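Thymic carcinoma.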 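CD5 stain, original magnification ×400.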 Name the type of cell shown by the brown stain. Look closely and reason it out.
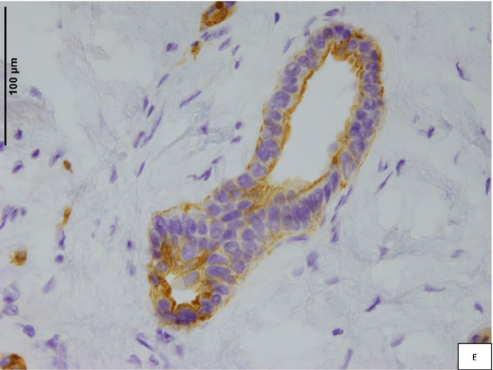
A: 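Atypical glandular epithelial cells. Brown stain outlines the cell borders of the cells lining a gland. Surrounding stromal cells are unstained blue.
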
